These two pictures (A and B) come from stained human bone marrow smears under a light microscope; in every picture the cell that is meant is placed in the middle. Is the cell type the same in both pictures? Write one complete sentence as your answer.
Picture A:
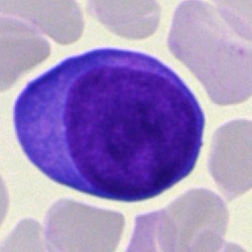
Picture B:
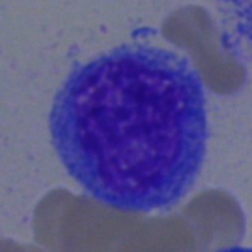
Yes, both are blasts.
